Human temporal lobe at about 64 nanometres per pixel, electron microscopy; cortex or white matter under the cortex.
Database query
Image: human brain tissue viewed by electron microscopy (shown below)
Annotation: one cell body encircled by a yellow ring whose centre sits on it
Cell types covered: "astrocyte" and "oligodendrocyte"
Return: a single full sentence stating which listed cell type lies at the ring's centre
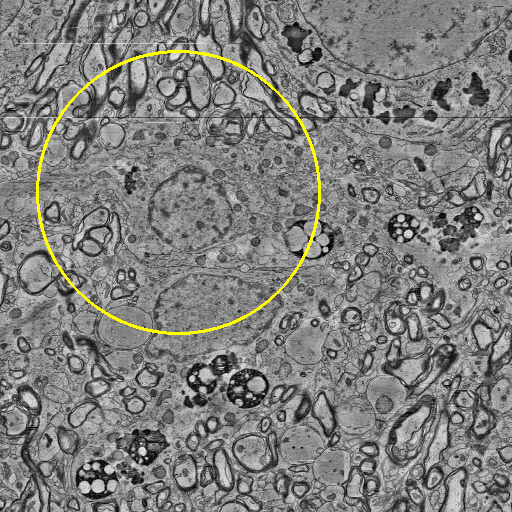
In the image, the cell lying at the ring's centre is an astrocyte.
